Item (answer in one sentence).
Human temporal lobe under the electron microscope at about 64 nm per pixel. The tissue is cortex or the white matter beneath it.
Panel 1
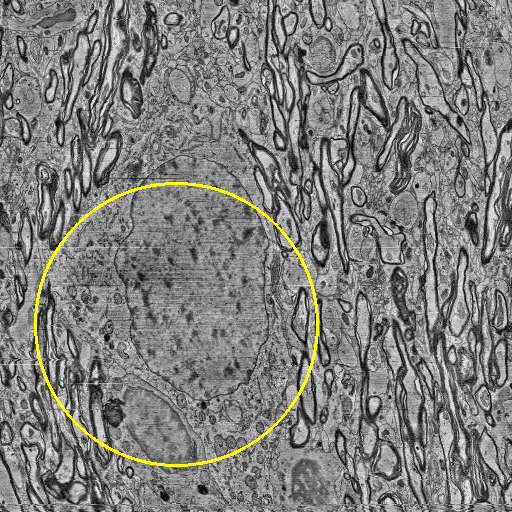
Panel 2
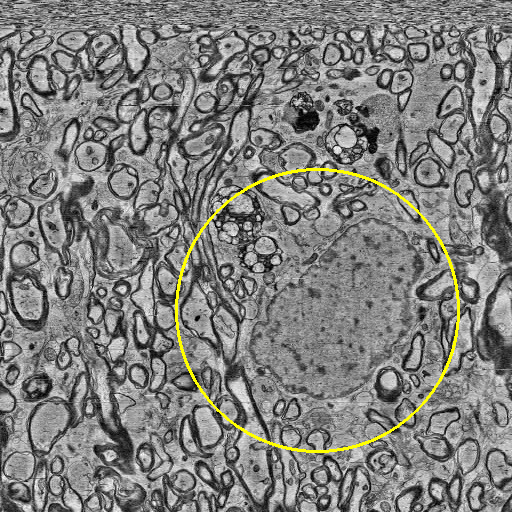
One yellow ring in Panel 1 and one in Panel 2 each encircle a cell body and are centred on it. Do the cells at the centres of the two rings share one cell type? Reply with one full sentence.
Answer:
No, Panel 1 and Panel 2 show cells of two types at the centres of their rings.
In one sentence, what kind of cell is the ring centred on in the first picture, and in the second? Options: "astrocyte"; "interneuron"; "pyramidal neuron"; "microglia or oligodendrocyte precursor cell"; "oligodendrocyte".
The cell at the centre of the second ring is an astrocyte; the first ring's cell is a pyramidal neuron.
